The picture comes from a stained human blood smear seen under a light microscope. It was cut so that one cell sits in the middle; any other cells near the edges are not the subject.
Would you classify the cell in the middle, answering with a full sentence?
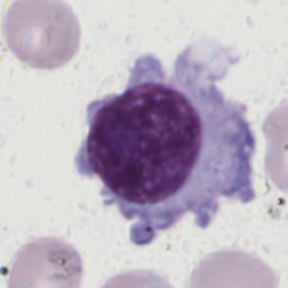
The cell at the central position in this crop is a plasma cell.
